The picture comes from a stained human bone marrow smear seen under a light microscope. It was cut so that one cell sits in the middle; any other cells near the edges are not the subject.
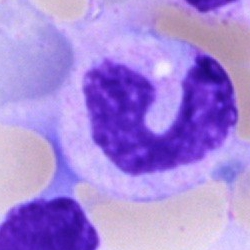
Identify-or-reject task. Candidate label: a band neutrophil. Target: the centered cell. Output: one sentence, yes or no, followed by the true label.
Yes, the cell located at the center is a band neutrophil.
